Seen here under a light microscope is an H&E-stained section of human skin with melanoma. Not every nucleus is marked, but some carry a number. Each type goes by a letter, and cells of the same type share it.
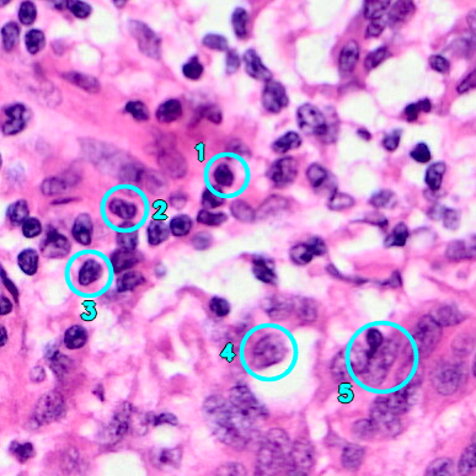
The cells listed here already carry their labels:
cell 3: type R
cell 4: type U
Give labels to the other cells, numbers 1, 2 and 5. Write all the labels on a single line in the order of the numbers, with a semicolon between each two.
type R; type R; type U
